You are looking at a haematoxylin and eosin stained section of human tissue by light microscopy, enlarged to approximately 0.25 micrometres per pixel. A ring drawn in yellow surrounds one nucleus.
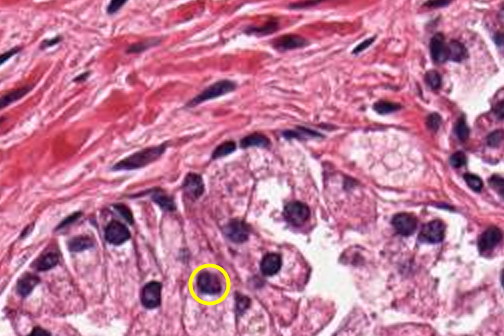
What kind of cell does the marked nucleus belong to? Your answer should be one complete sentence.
Within a prostate gland luminal cell lies the marked nucleus.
